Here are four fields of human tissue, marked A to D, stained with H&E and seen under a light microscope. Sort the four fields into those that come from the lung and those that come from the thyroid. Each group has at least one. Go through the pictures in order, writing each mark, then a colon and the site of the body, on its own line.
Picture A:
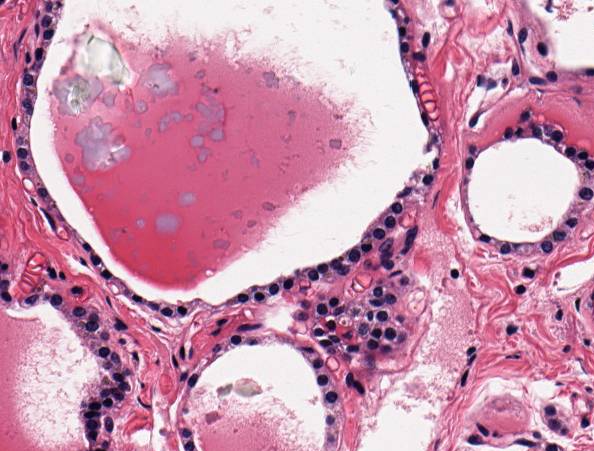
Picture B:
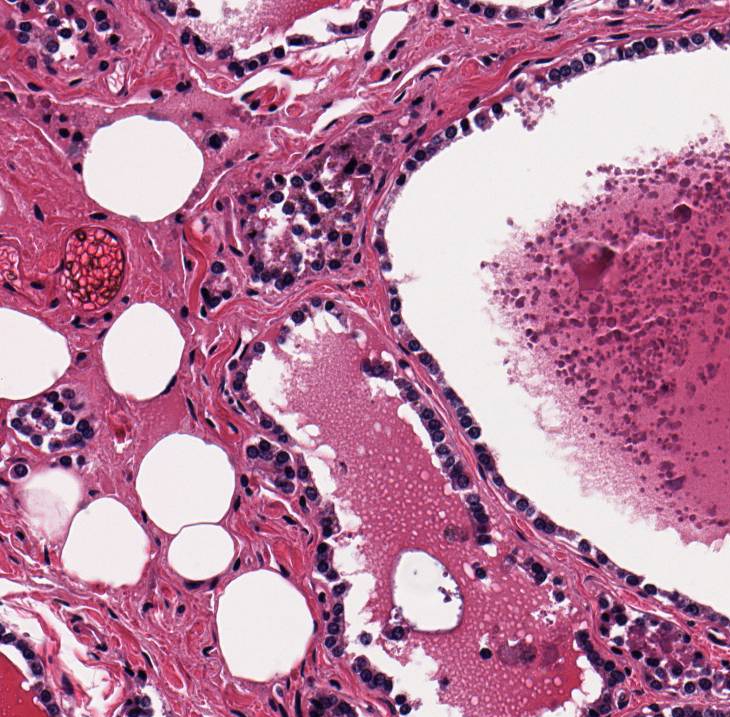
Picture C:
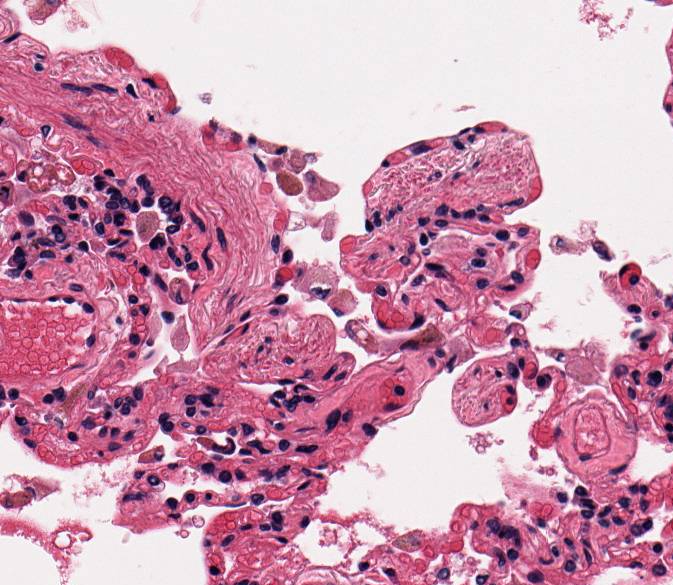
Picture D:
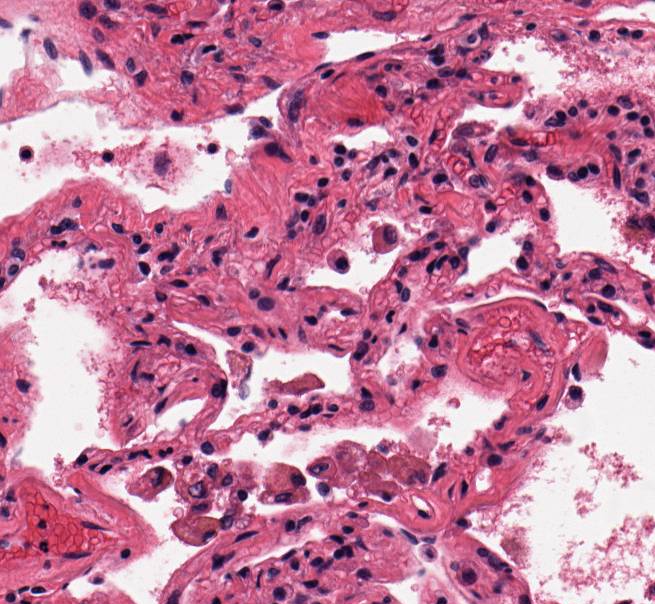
A: thyroid
B: thyroid
C: lung
D: lung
